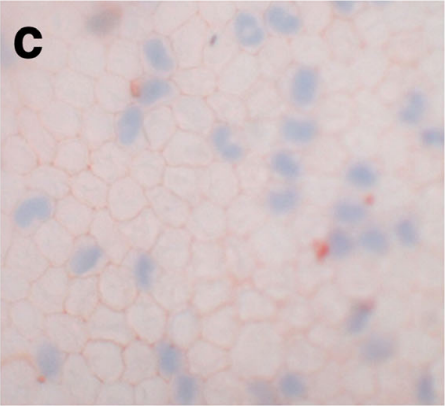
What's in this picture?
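A flat sheet of corneal endothelial cells, a mosaic of polygonal, mostly hexagonal cells outlined by thin red borders. The red borders are faint and less sharply drawn in places.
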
